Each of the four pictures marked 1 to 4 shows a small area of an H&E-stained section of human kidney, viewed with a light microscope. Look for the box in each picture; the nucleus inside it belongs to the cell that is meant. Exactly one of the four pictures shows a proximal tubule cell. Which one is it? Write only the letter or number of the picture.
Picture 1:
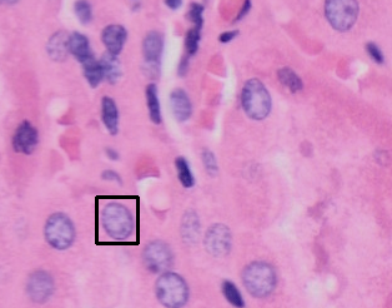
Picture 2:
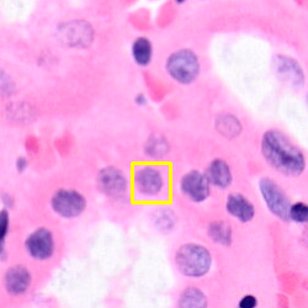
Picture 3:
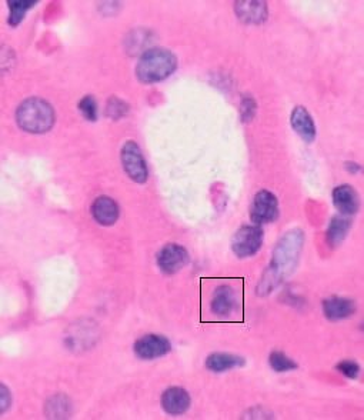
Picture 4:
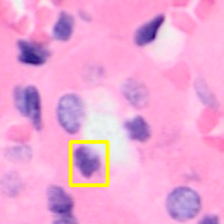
1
